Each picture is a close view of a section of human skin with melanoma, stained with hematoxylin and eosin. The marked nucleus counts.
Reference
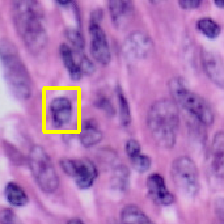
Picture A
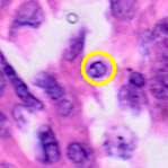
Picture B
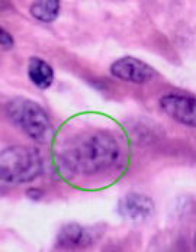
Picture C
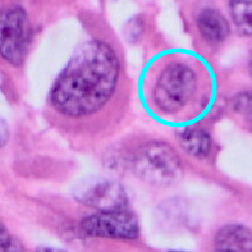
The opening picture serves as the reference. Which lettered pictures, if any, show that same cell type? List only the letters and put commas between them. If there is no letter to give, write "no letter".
A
